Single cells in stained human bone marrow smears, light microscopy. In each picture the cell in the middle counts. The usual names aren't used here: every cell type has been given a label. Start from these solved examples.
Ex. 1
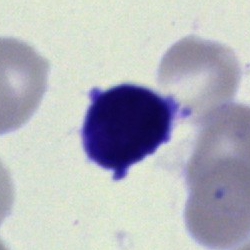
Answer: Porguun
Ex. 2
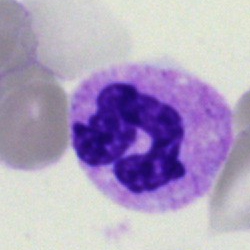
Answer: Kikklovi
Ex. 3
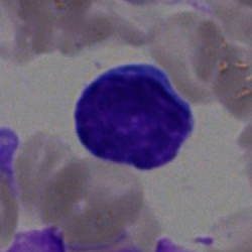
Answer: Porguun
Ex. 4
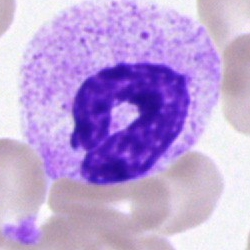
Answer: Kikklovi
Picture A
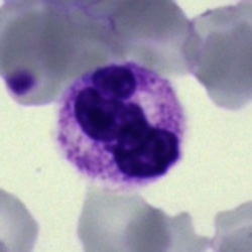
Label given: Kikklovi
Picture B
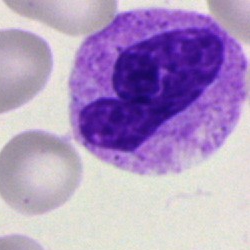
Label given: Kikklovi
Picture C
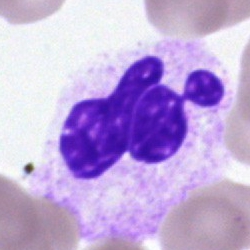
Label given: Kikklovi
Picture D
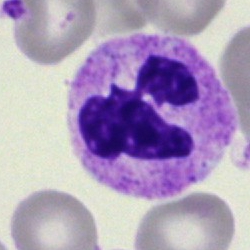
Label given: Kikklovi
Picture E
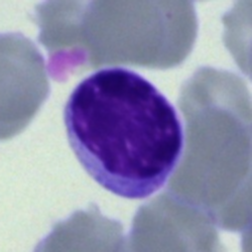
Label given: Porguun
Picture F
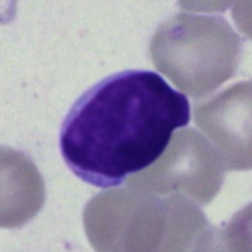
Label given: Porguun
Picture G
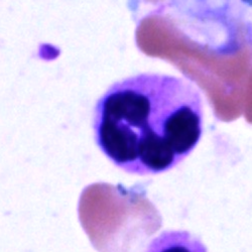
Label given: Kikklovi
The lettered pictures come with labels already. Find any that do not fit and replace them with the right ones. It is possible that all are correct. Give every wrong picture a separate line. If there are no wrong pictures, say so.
Nothing to fix; every label fits.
